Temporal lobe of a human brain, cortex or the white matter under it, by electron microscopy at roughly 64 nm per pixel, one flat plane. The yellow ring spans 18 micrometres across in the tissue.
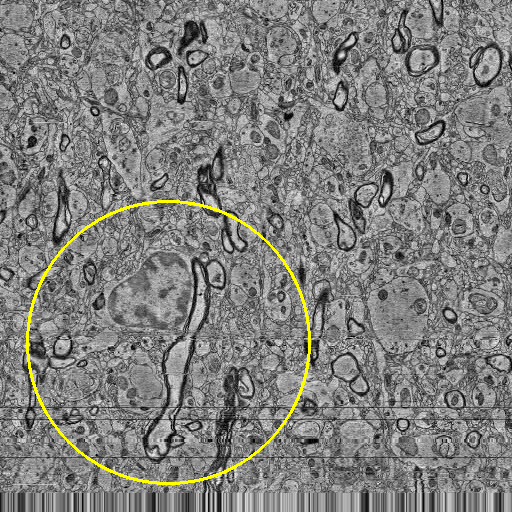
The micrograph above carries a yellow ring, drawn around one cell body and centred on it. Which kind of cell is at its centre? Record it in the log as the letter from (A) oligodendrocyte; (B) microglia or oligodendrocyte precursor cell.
B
